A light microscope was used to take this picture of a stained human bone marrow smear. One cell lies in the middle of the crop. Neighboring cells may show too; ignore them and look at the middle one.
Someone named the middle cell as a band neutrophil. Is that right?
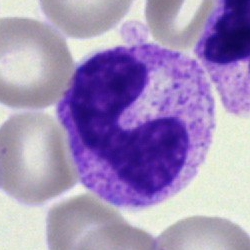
yes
